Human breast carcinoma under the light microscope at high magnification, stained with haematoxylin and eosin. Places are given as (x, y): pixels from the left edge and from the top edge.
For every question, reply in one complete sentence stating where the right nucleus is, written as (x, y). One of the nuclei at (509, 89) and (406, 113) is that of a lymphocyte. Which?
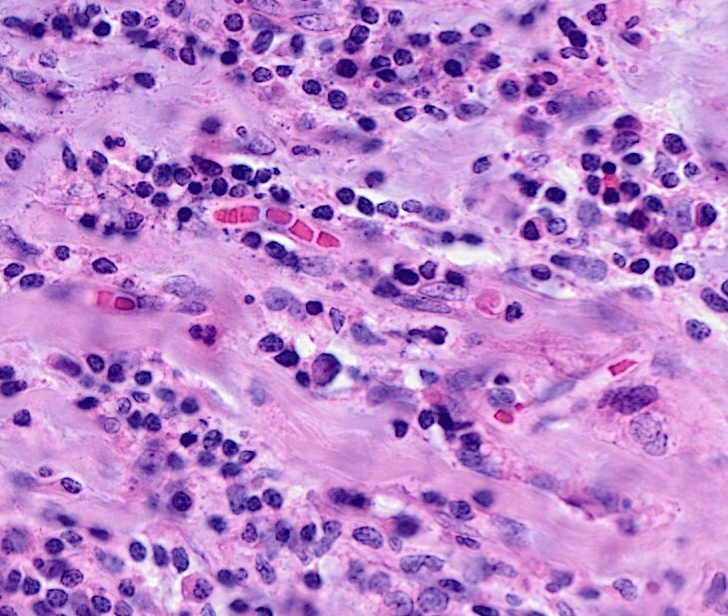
Among the two, the nucleus at (406, 113) is the nucleus of a lymphocyte.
